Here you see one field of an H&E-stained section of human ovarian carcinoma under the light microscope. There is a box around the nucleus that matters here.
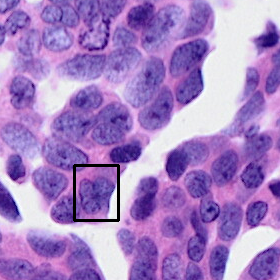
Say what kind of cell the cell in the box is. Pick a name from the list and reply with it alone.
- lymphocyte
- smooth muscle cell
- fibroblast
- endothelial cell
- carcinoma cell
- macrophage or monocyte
carcinoma cell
